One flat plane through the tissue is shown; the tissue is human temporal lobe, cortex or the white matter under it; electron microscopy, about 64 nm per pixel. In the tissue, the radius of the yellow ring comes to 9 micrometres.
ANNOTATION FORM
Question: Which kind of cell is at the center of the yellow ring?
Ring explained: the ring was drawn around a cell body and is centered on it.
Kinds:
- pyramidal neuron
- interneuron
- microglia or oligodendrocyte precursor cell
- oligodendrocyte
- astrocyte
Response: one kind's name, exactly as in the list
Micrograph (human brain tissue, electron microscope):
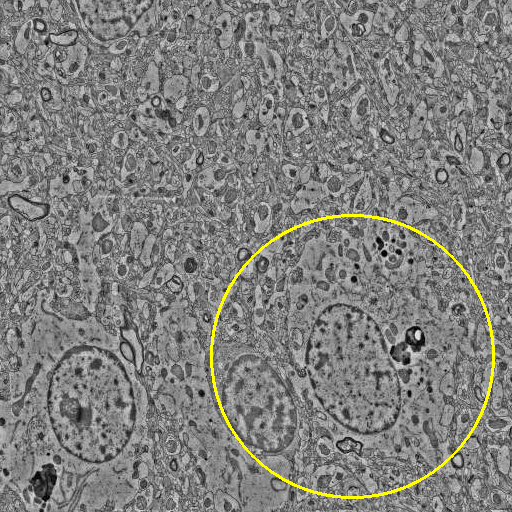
astrocyte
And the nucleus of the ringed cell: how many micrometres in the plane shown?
Approximately 9 by 6 micrometers, which makes the nucleus clearly longer than it is wide in this plane.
